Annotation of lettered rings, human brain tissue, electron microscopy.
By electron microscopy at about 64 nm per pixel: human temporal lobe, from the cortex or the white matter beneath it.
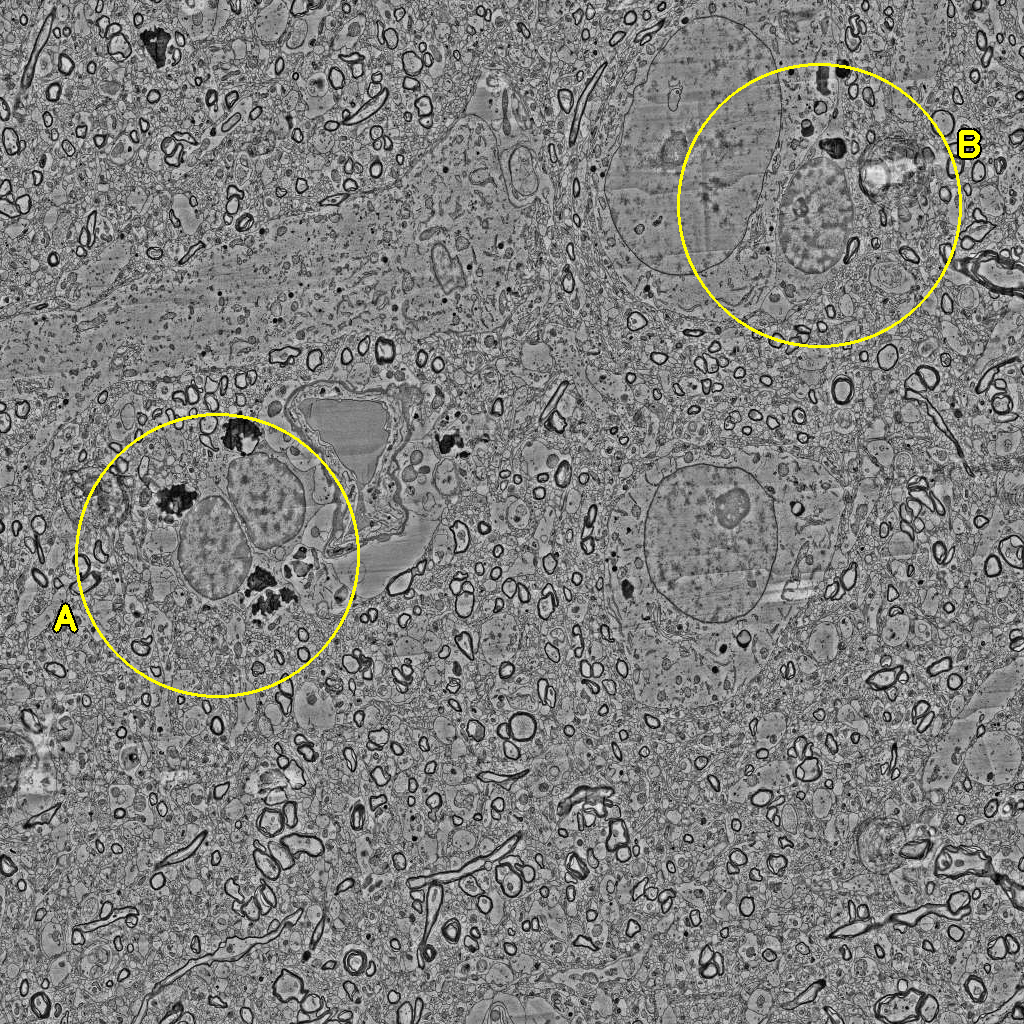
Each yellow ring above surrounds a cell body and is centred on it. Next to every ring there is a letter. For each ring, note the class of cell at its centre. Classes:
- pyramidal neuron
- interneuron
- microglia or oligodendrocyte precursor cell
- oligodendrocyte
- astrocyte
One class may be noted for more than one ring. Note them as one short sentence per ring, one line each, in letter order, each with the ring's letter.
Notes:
The class noted at ring A is an oligodendrocyte.
The class noted at ring B is an oligodendrocyte.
